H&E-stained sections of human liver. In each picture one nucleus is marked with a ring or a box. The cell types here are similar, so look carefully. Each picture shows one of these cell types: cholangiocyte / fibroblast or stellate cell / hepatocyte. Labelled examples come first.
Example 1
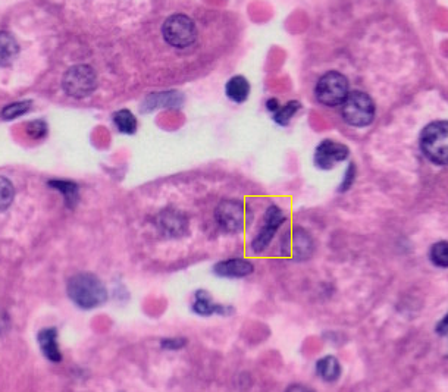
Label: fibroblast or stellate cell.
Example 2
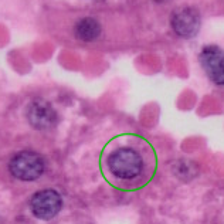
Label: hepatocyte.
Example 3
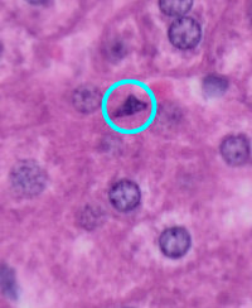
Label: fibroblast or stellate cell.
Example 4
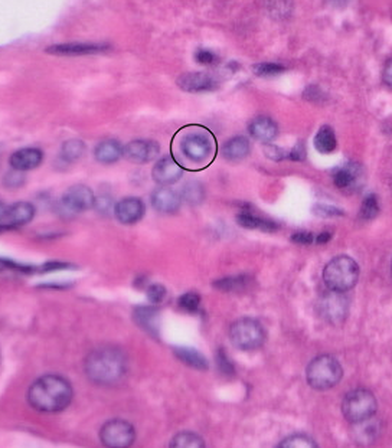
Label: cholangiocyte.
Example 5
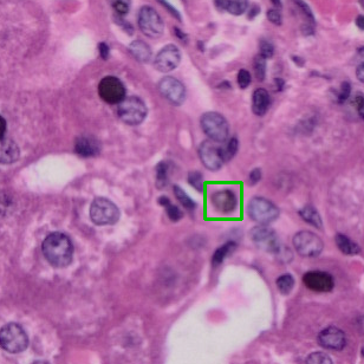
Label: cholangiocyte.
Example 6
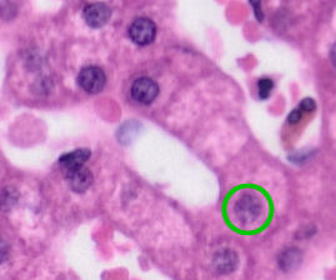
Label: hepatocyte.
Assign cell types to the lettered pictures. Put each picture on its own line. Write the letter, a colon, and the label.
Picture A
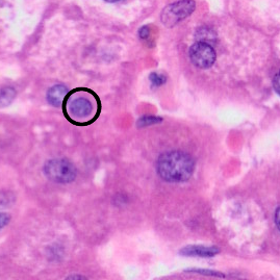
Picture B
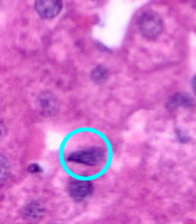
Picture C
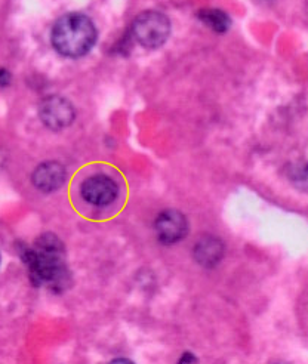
A: cholangiocyte.
B: fibroblast or stellate cell.
C: hepatocyte.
